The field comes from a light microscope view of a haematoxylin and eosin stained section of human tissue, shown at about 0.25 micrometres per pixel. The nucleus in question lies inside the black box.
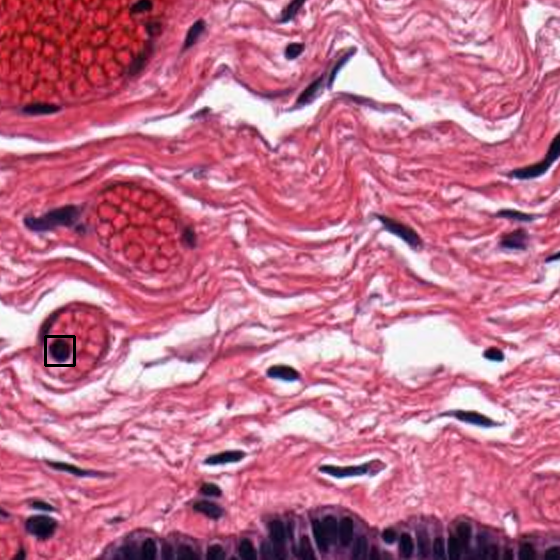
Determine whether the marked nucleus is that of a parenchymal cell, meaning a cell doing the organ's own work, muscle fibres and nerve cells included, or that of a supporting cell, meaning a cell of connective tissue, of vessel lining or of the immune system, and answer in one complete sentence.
A supporting cell is the cell in which the marked nucleus is found.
